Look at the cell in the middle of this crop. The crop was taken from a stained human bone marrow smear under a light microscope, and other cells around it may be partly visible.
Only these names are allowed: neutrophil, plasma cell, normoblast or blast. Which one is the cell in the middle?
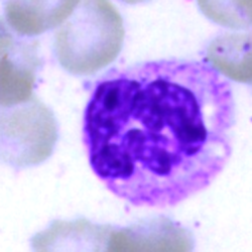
neutrophil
